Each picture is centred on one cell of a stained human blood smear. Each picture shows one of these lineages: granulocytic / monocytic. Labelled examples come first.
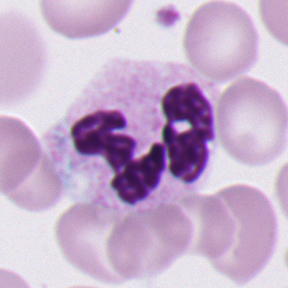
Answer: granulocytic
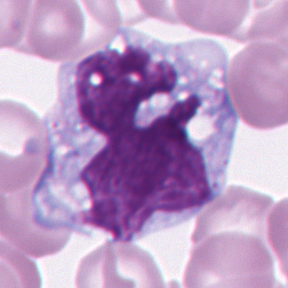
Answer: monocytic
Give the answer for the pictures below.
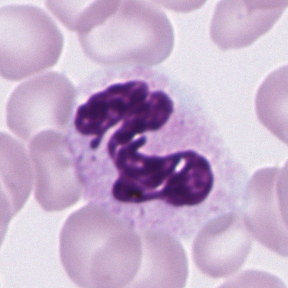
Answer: granulocytic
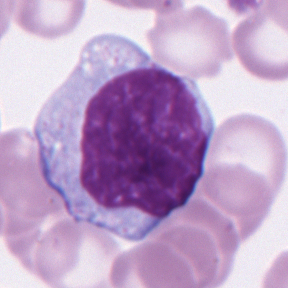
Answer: monocytic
